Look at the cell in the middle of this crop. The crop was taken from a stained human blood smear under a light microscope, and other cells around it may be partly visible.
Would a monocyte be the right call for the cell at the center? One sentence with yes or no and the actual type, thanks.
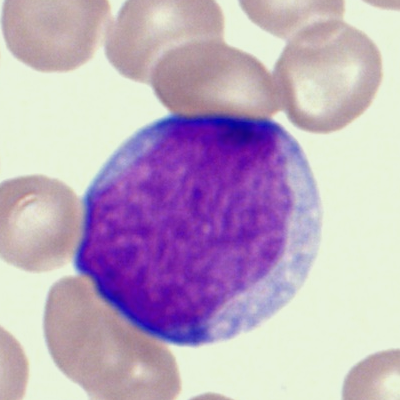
No, the cell in the centre is a myeloblast instead of a monocyte.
